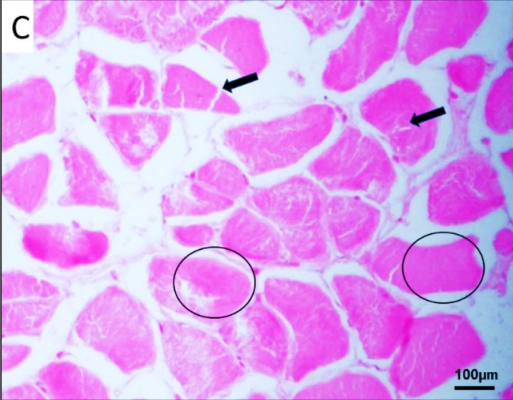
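Cross-sectioned skeletal muscle fibers, polygonal to rounded and bright pink, lying apart in wide clear spaces. Several fibers are crossed by thin clefts that divide them, and some show paler, frayed areas within. Nuclei are scarcely seen at this magnification.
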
